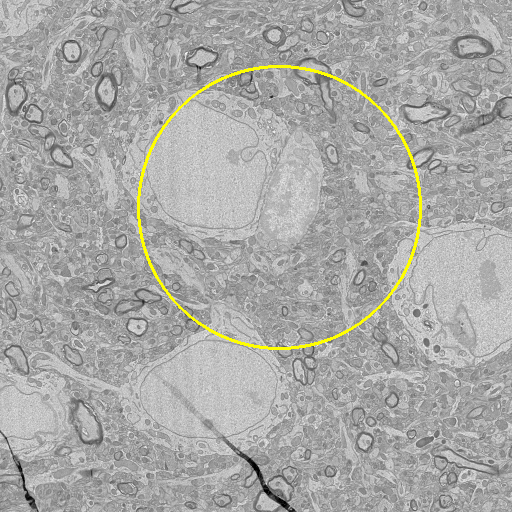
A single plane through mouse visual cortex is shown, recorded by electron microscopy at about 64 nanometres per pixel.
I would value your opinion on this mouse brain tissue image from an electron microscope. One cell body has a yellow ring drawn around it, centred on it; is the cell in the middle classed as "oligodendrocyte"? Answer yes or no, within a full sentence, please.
Yes, I would class the cell in the middle of the ring as that kind.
